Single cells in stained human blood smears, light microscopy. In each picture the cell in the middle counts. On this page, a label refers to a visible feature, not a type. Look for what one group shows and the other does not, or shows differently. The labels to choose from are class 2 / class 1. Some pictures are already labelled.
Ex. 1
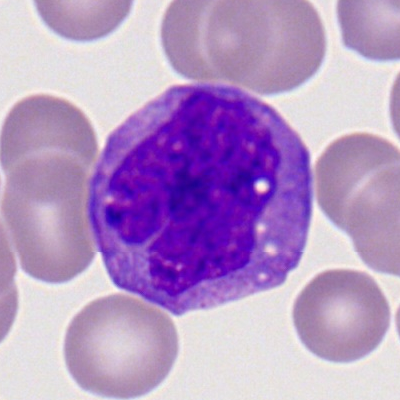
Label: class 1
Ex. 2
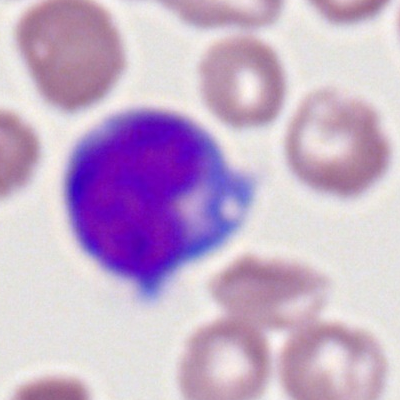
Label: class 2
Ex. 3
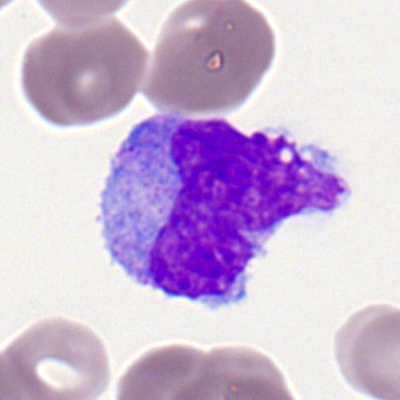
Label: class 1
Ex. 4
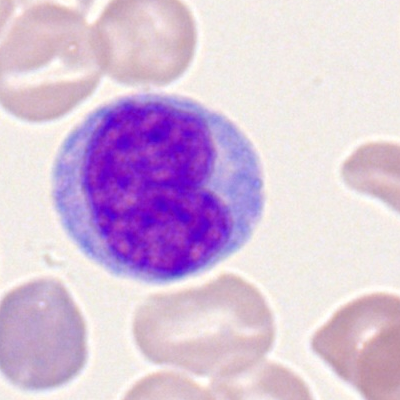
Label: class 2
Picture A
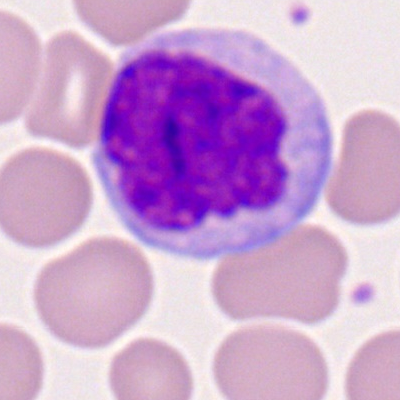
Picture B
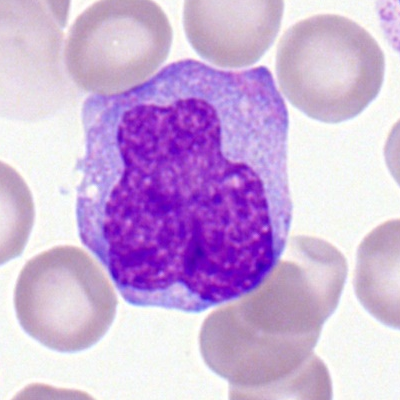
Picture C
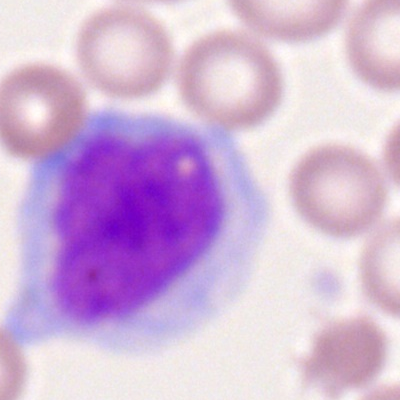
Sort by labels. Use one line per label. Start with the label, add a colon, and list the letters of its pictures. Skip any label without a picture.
class 2: A, C
class 1: B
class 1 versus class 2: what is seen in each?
class 1: many visible granules; class 2: no visible granules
